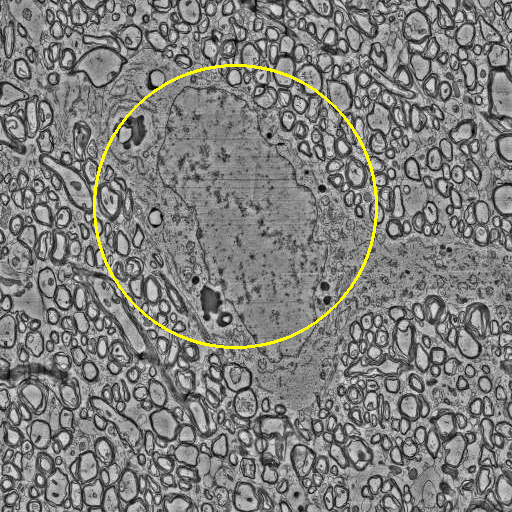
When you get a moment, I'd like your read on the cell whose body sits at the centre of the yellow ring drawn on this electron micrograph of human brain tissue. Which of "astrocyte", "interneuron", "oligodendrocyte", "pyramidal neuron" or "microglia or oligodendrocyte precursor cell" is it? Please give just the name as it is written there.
pyramidal neuron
